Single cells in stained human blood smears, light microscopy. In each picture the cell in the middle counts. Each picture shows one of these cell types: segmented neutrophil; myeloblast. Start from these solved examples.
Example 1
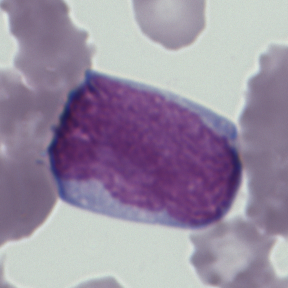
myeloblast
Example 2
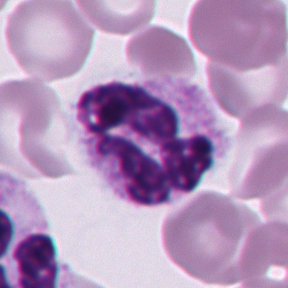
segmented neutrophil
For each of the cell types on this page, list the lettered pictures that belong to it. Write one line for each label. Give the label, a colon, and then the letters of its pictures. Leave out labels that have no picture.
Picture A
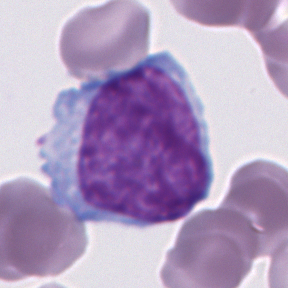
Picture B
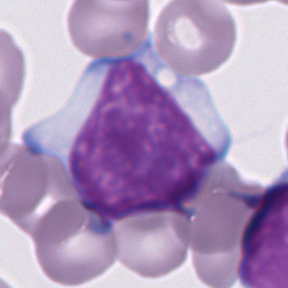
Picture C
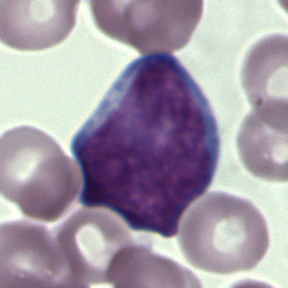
myeloblast: A, B, C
